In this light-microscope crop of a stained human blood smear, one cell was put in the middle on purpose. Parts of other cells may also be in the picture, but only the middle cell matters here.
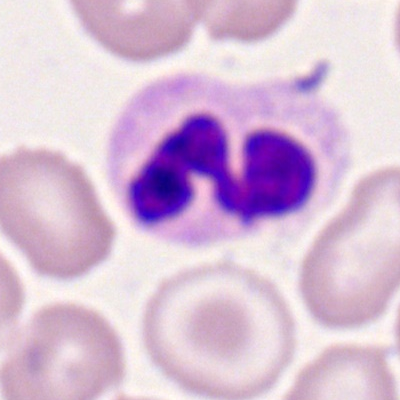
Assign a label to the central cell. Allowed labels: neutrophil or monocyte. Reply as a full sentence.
As for the cell in the middle, it is a neutrophil.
